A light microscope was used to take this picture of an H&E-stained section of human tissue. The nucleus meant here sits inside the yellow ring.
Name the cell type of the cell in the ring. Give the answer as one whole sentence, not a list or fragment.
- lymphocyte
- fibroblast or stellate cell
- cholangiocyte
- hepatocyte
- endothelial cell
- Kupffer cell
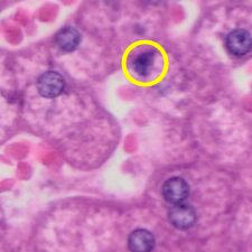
Assigned to a cell type, the cell in the ring is a fibroblast or stellate cell.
